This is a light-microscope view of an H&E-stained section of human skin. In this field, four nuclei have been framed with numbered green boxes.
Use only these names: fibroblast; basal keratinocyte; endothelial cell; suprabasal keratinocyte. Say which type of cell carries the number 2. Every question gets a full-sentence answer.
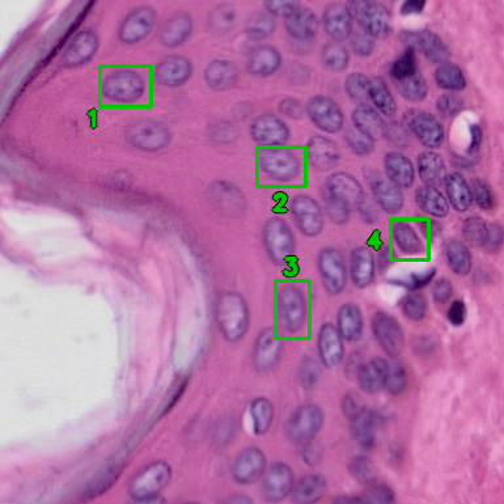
The cell referenced by the number 2 is a suprabasal keratinocyte in this field.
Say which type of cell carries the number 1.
The nucleus marked 1 is the nucleus of a suprabasal keratinocyte.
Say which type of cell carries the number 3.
The cell tagged with 3 in this tissue section is a suprabasal keratinocyte.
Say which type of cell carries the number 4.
The marked cell with the number 4 is recognised as a basal keratinocyte.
